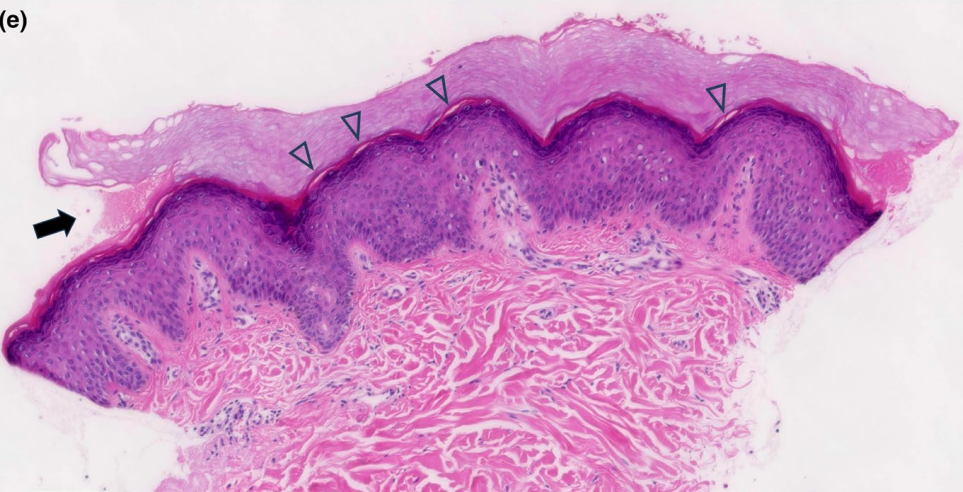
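This is a section of skin showing the epidermis, a stratified squamous epithelium, resting on the dermis. The epithelium forms broad undulating rete ridges that project downward into pink, loosely woven collagen bundles of the dermis, where scattered small dark nuclei and a few vessels are seen. Purple-staining keratinocytes fill the living layers, and at the top of these a thin dark band of granular cells stands out. Above this lies a thick, pale pink, laminated cornified layer. At the left edge the cornified layer is lifted off the underlying cells, leaving an open gap, and thin pale splits run along the cornified layer just above the granular band.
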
